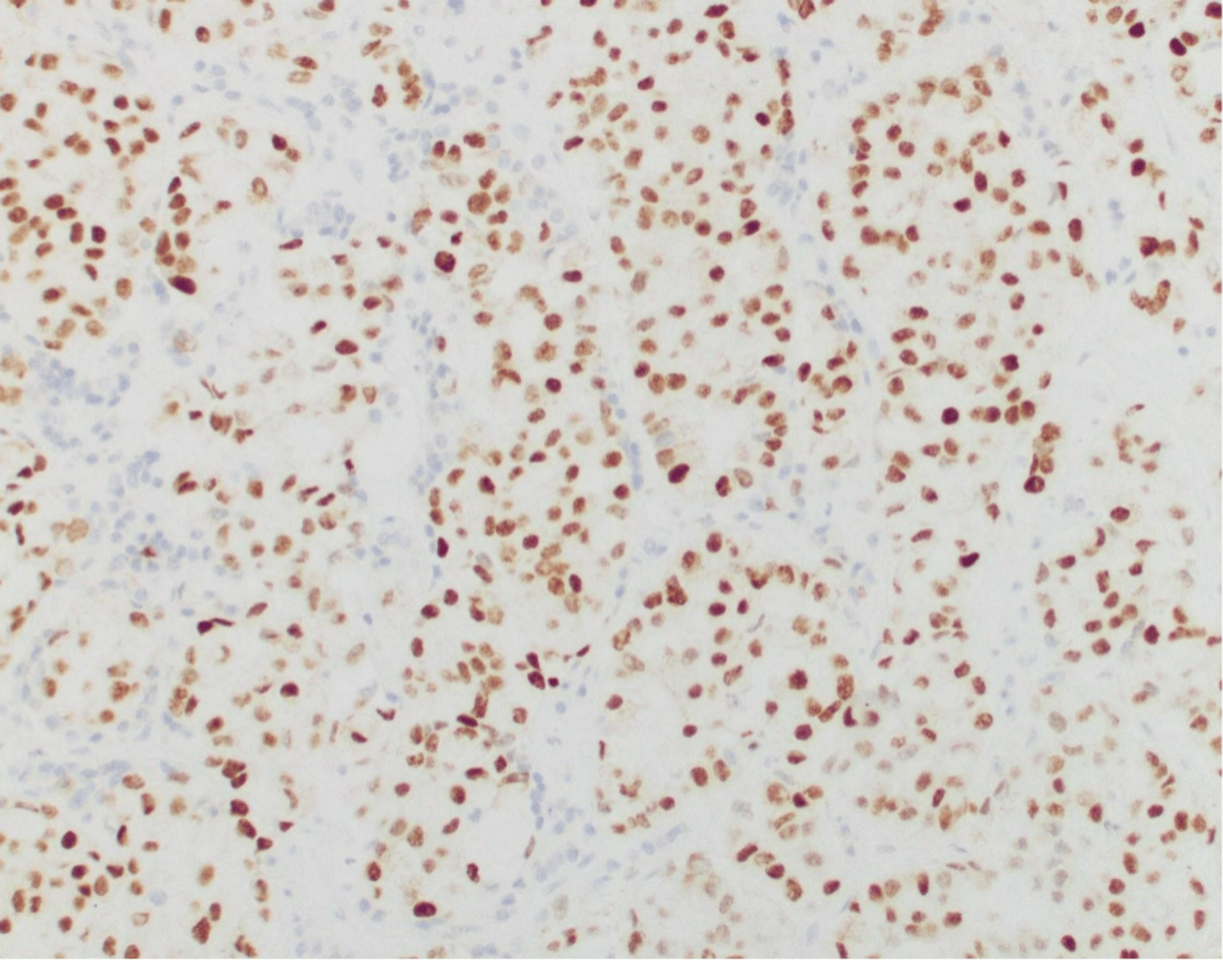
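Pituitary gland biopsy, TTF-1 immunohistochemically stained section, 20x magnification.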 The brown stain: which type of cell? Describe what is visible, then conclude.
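Tumor cells. Brown-stained nuclei fill cells arranged in crowded glands and nests. Thin strips of stroma between the nests hold small pale blue nuclei without brown stain. Brown nuclei vary in size and intensity, some very dark.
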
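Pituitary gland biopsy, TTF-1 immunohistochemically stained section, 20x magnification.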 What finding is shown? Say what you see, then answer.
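Cells form gland-like rings and acinar clusters around small lumina. Nests separated by thin fibrovascular stroma. On this evidence: metastatic adenocarcinoma.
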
